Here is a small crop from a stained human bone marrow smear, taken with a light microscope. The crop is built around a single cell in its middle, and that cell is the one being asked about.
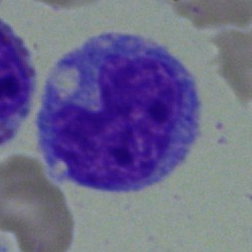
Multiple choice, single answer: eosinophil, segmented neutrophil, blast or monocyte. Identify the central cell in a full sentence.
Classified as a monocyte is the cell in the middle of this crop.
